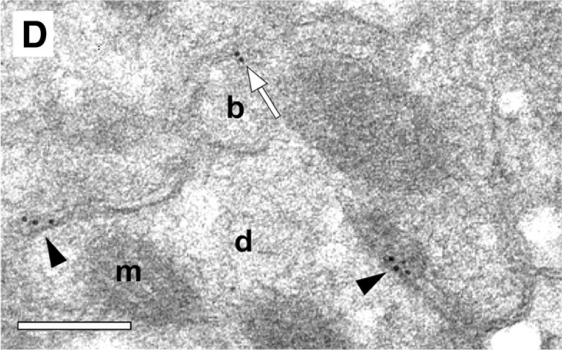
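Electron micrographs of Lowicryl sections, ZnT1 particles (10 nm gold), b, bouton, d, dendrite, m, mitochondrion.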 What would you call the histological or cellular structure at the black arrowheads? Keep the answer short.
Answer: synaptic junctions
